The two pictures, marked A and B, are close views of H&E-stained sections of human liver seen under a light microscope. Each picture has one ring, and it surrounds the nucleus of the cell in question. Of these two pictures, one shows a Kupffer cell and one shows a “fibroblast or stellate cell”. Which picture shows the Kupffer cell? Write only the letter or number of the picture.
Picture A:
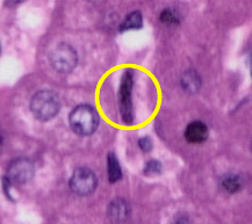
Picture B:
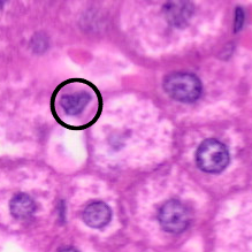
A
